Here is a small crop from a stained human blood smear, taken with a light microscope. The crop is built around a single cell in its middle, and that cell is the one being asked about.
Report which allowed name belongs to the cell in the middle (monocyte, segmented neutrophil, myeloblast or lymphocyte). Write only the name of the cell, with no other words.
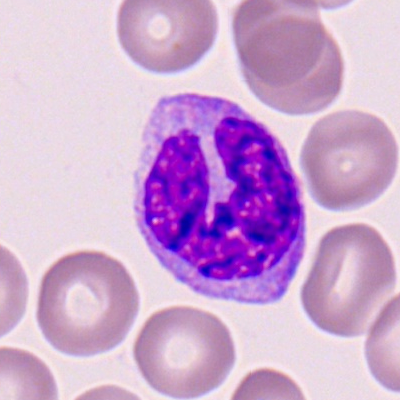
monocyte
